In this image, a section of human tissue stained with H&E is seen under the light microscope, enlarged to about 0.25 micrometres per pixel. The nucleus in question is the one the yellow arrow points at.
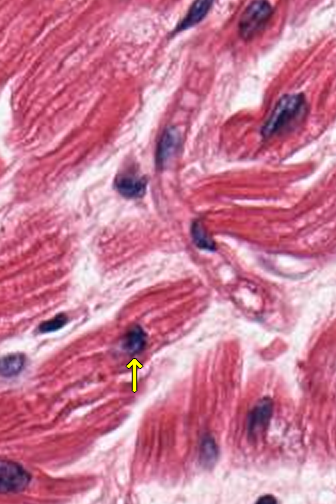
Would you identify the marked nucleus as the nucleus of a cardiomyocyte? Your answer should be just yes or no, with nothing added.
yes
